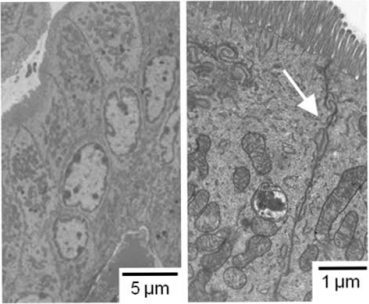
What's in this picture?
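These are intestinal epithelial cells at low and high magnification, with rounded to oval nuclei in a row of columnar cells and a brush border of regular microvilli at the apical surface. At high magnification neighbouring cells meet along a thin, closely apposed membrane line with no open space between them, and mitochondria lie nearby in the cytoplasm.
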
